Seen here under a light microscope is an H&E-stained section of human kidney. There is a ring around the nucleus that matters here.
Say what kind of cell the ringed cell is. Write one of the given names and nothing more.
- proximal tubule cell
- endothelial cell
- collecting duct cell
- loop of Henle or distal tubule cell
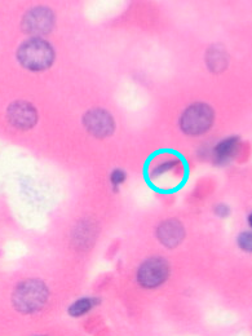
endothelial cell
